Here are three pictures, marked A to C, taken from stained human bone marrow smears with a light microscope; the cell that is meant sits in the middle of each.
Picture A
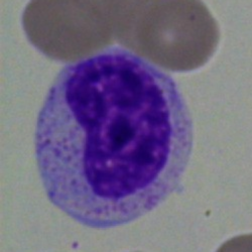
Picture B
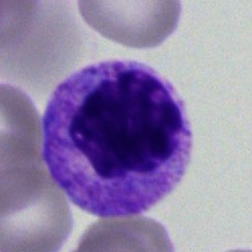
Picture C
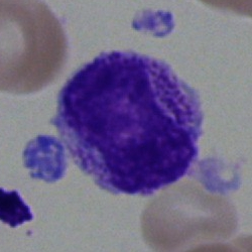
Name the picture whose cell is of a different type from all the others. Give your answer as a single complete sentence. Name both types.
The different one is picture B; it shows a myelocyte, whereas all the others show metamyelocytes.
